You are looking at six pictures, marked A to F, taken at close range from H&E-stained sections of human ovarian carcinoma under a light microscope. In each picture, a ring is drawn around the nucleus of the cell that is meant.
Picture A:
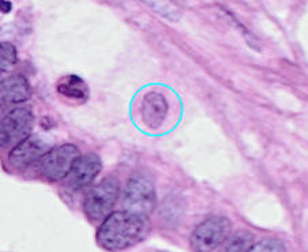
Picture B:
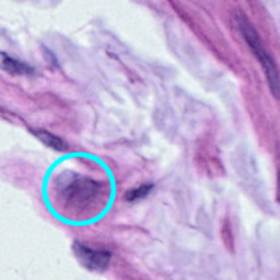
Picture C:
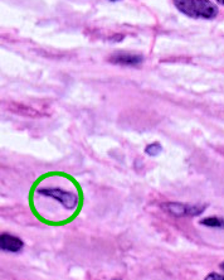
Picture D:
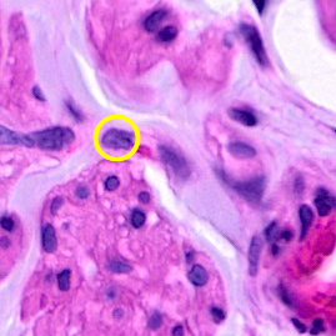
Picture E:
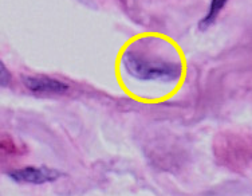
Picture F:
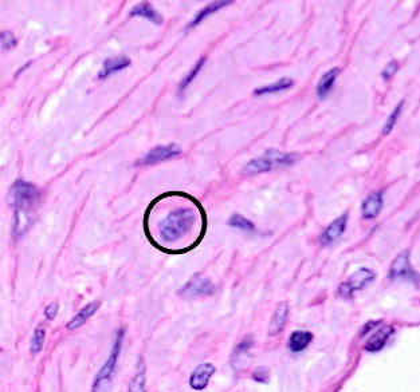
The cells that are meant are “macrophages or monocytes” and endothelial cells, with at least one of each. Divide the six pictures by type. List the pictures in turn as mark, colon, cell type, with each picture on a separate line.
A: macrophage or monocyte
B: endothelial cell
C: macrophage or monocyte
D: endothelial cell
E: endothelial cell
F: macrophage or monocyte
